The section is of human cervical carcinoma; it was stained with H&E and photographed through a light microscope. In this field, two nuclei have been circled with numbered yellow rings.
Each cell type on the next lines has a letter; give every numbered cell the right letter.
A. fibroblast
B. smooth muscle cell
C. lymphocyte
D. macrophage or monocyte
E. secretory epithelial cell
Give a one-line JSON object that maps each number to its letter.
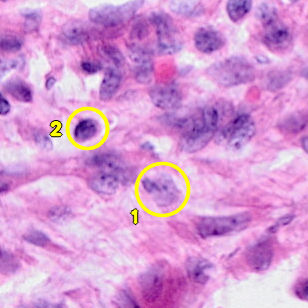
{"1": "A", "2": "C"}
